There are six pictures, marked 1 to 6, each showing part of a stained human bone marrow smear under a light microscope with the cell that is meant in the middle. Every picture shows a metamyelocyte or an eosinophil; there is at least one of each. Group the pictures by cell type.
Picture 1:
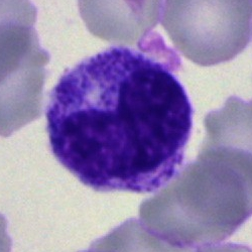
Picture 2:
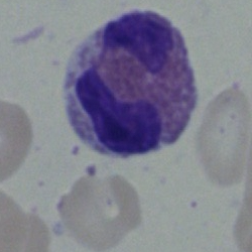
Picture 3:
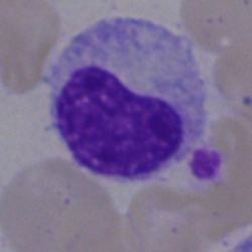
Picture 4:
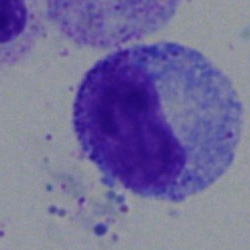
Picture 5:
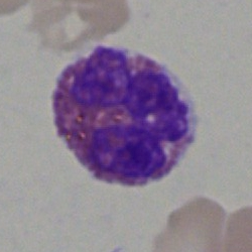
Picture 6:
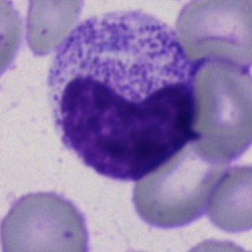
1: metamyelocyte
2: eosinophil
3: metamyelocyte
4: metamyelocyte
5: eosinophil
6: metamyelocyte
